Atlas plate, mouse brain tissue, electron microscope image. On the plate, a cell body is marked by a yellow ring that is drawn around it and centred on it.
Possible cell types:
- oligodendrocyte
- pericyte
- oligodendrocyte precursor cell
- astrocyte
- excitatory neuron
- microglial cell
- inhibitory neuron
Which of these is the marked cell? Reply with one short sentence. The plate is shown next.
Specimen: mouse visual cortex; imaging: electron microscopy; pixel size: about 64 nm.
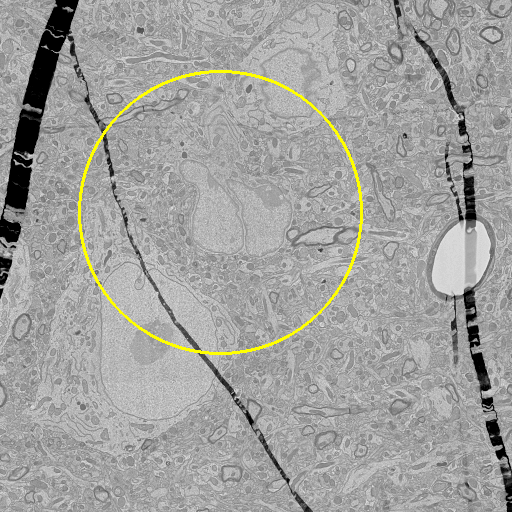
The marked cell is an oligodendrocyte precursor cell.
